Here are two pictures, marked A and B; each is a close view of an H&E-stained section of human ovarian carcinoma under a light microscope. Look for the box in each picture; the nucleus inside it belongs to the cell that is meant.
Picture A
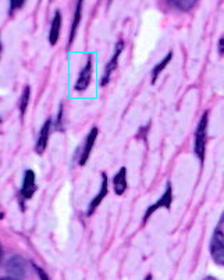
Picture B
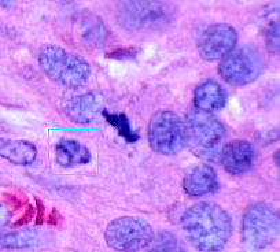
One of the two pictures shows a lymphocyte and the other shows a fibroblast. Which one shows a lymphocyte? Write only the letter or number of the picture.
B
